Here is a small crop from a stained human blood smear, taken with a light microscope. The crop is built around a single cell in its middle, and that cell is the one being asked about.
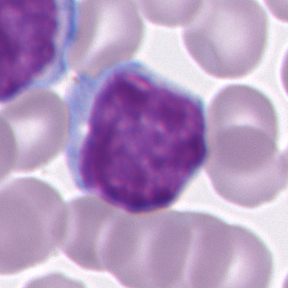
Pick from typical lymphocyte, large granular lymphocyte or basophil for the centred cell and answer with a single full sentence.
Located at the centre of the crop is a typical lymphocyte.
